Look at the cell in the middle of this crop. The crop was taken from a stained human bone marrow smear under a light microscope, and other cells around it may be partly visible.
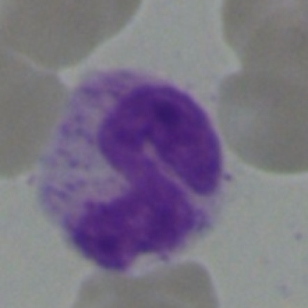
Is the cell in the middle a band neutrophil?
yes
